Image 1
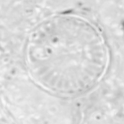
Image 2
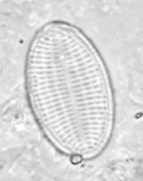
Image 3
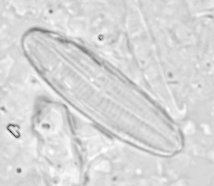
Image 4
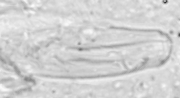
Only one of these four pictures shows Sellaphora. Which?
Picture 4.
